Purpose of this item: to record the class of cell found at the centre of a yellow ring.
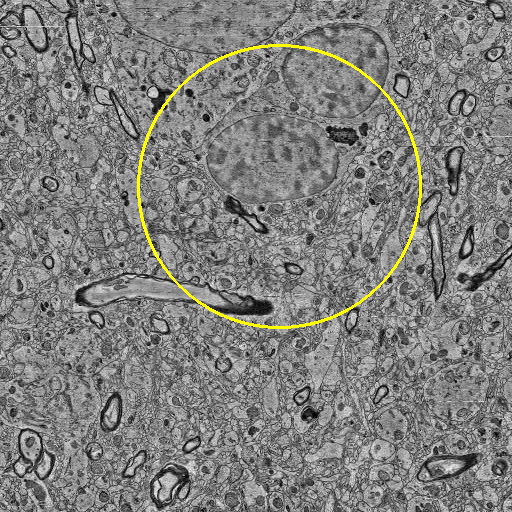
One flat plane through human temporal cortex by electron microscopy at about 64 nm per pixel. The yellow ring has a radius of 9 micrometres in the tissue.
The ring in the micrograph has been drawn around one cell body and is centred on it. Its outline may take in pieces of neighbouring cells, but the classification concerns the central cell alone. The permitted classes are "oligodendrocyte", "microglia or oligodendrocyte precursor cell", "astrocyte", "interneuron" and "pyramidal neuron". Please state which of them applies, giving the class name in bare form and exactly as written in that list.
oligodendrocyte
